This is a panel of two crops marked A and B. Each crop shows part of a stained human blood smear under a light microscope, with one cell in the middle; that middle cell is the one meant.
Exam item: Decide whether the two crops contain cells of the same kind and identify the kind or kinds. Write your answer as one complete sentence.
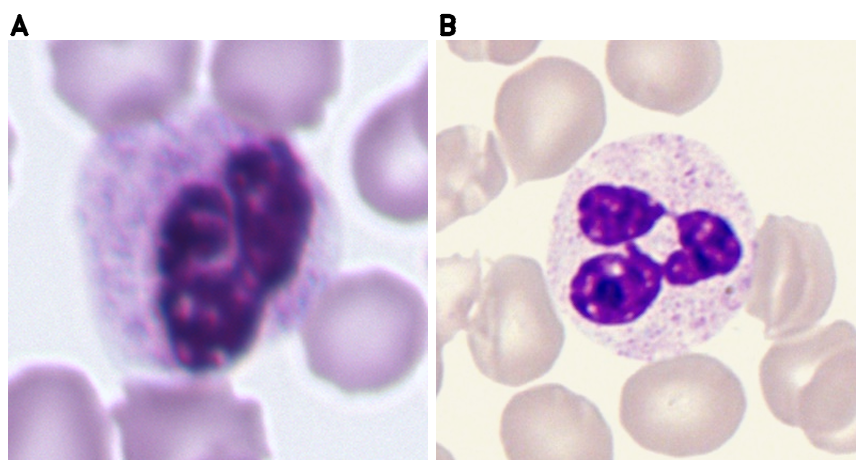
Yes, it is neutrophils that both crops show.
